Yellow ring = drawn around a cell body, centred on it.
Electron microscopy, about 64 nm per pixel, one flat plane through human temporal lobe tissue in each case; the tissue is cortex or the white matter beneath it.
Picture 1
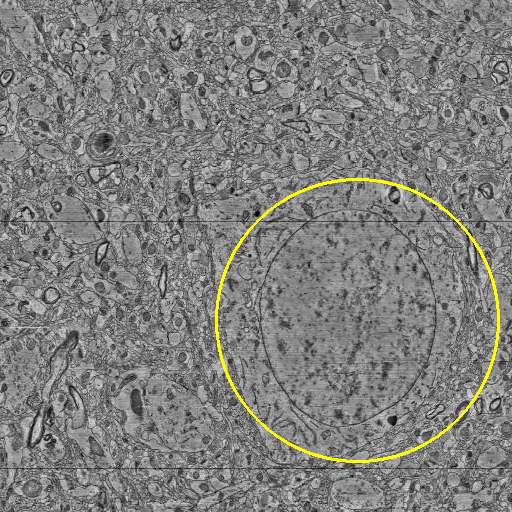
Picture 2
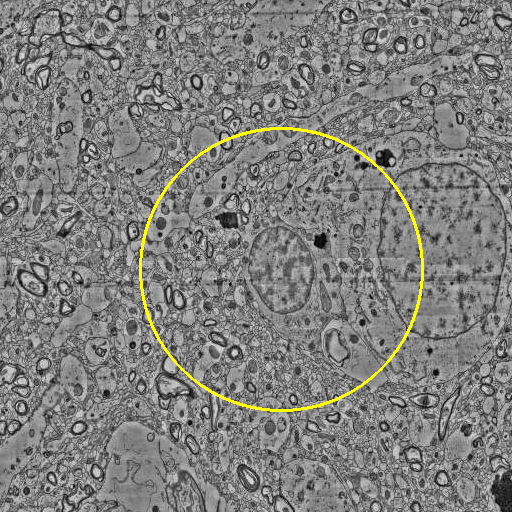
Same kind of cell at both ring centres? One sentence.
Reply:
No, they are two kinds of cell.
